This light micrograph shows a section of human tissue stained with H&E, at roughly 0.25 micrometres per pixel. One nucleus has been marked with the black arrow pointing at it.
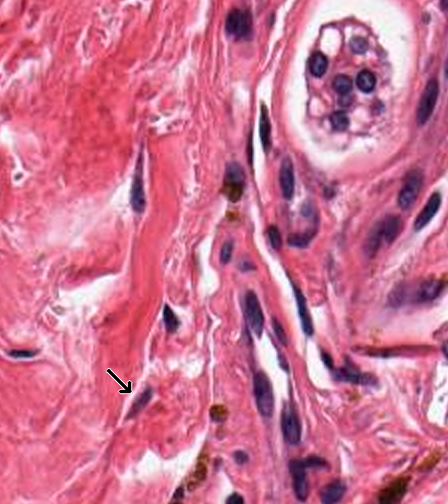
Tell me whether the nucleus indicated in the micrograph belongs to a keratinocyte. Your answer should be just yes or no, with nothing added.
no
